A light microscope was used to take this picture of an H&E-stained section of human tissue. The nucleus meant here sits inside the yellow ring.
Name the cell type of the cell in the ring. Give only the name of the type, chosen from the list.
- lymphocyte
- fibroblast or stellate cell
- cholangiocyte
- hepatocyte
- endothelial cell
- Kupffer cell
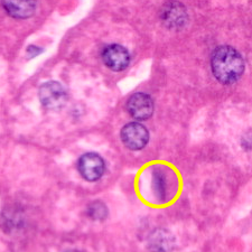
endothelial cell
